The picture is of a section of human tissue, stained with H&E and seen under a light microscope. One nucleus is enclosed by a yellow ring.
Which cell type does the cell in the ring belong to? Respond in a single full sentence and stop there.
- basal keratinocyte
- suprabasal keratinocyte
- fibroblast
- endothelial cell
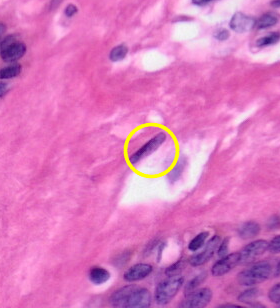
Placed in its cell category, the cell in the ring is a fibroblast.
